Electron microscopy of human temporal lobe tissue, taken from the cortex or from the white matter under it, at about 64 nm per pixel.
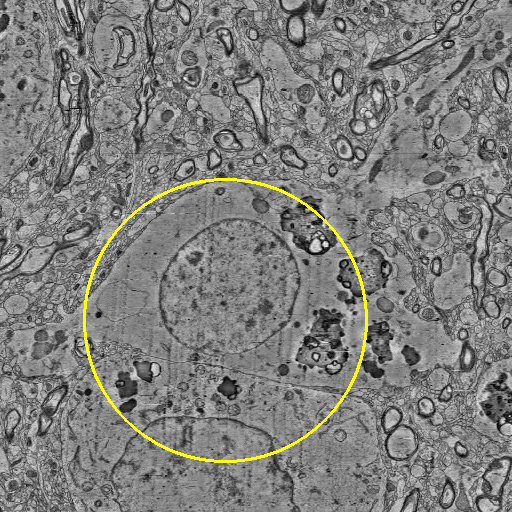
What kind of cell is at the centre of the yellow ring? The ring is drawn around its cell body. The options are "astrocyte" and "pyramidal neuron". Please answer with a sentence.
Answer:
The yellow ring marks the cell body of an astrocyte.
